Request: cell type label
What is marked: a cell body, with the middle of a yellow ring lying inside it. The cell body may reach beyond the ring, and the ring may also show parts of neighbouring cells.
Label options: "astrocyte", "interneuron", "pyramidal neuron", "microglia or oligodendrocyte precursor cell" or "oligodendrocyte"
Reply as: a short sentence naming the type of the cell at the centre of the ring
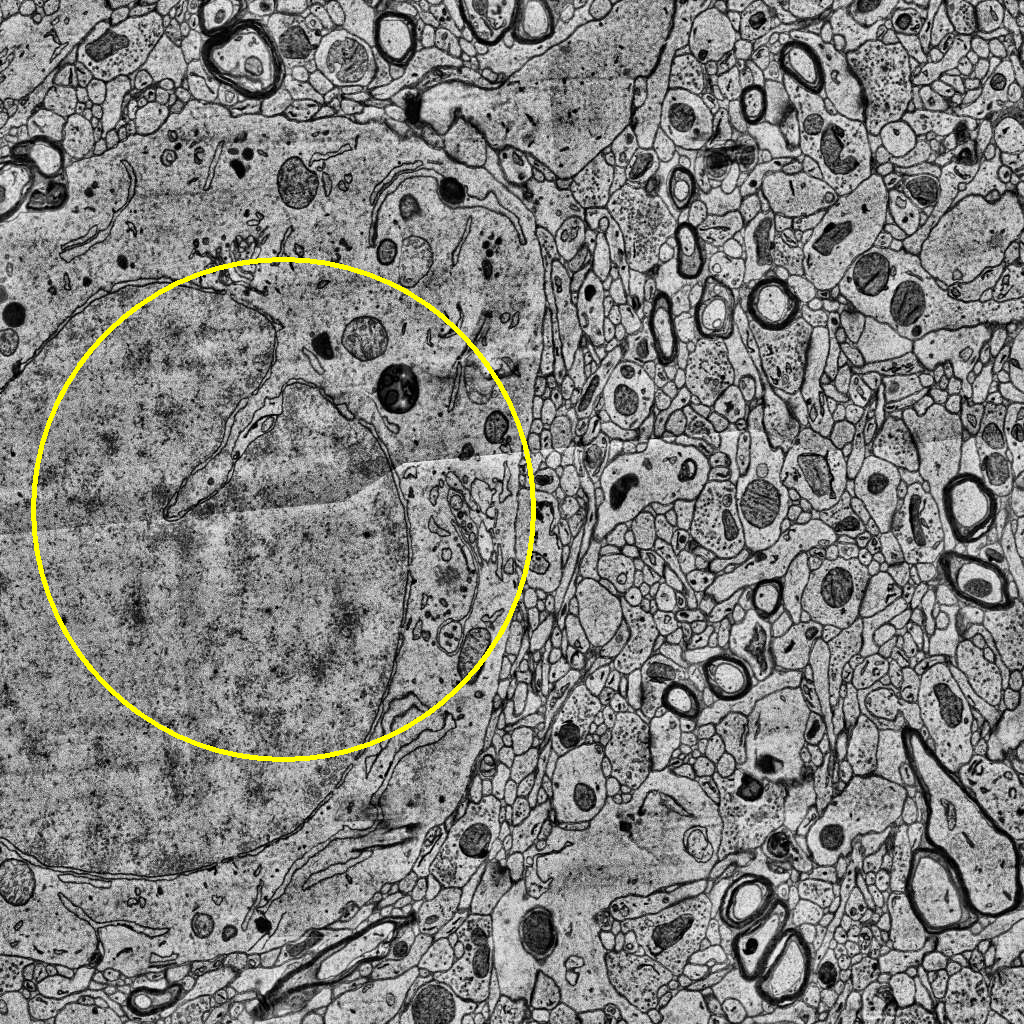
The marked cell body is that of an interneuron.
